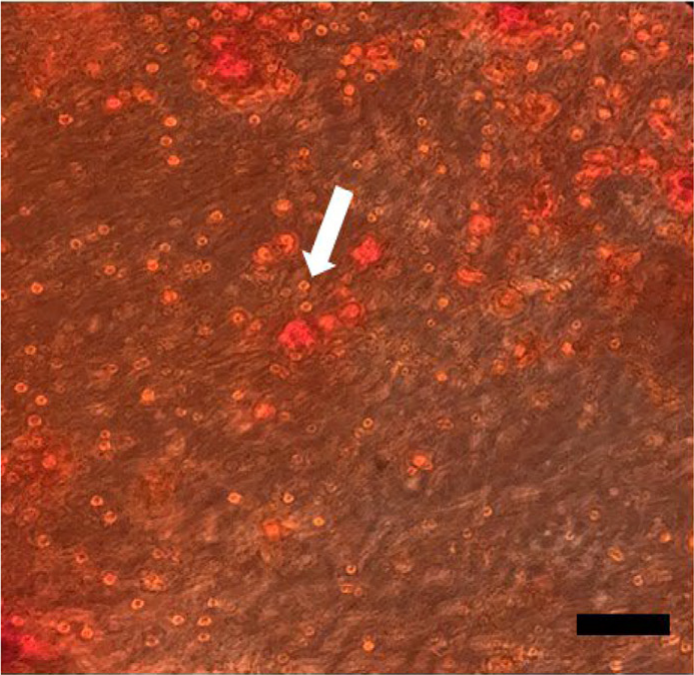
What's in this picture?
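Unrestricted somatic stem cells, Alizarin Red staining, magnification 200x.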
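A dense, multilayered sheet of elongated cells lying in a roughly parallel, streaming arrangement, the whole field tinted reddish-brown. Scattered over the sheet are many small round red-orange bodies, some with a paler centre, and here and there larger irregular patches of brighter, more intense red where deposits have merged. These bright red deposits sit on and between the cells rather than forming distinct cell outlines.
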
